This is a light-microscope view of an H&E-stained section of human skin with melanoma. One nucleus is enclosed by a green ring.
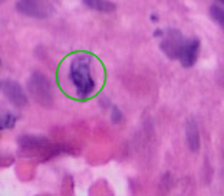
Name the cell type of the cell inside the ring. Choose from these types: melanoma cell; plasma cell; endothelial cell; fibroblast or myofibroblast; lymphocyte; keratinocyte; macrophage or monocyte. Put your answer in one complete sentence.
The cell inside the ring appears to be a lymphocyte.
